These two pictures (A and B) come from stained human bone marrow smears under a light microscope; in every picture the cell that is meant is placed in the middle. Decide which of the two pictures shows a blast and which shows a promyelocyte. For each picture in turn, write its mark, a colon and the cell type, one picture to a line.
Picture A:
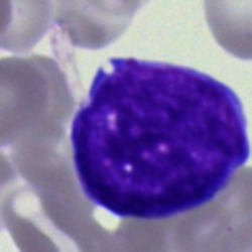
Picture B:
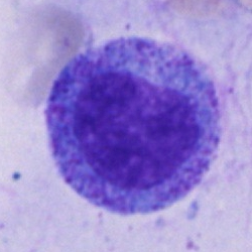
A: blast
B: promyelocyte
